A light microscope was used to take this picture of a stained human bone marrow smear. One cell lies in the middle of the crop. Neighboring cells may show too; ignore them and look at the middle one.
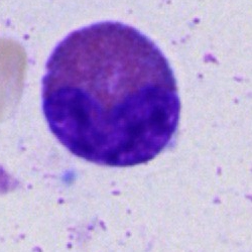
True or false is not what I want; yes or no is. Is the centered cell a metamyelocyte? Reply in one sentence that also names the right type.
No, it is an eosinophil and not a metamyelocyte that occupies the middle of the crop.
